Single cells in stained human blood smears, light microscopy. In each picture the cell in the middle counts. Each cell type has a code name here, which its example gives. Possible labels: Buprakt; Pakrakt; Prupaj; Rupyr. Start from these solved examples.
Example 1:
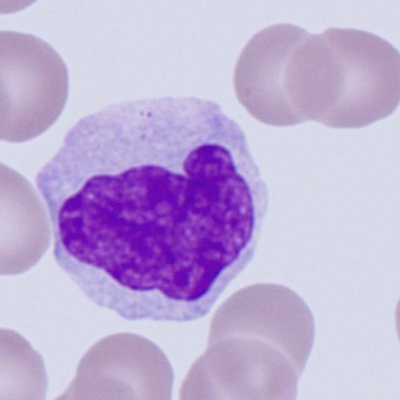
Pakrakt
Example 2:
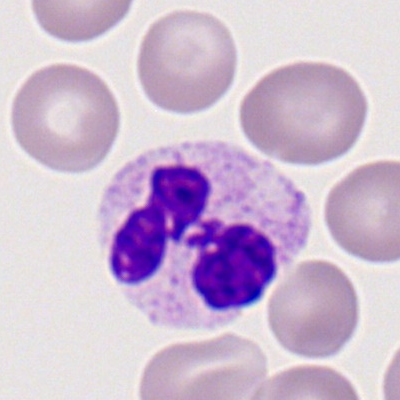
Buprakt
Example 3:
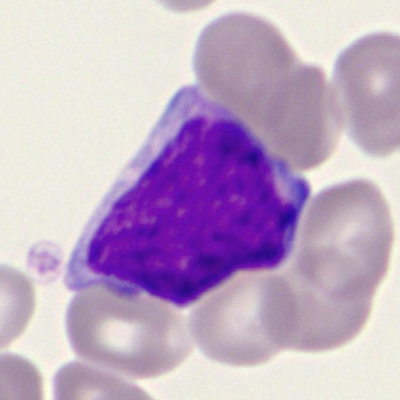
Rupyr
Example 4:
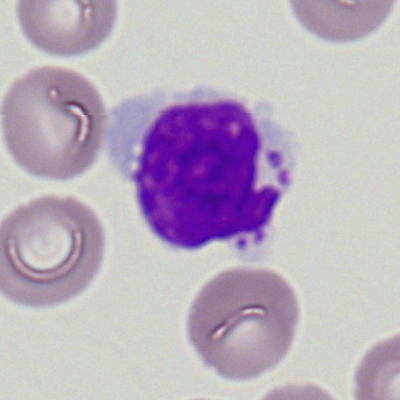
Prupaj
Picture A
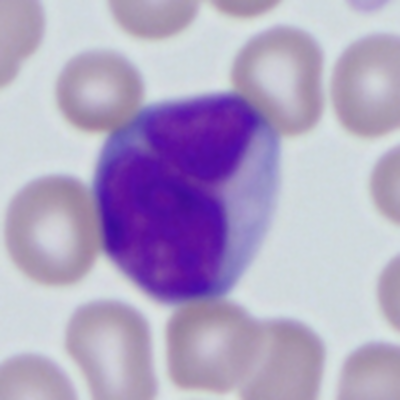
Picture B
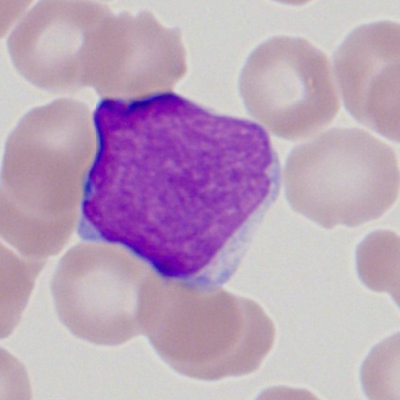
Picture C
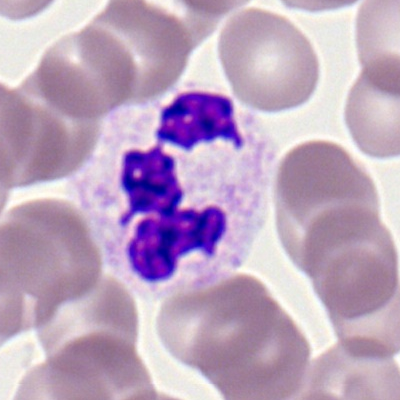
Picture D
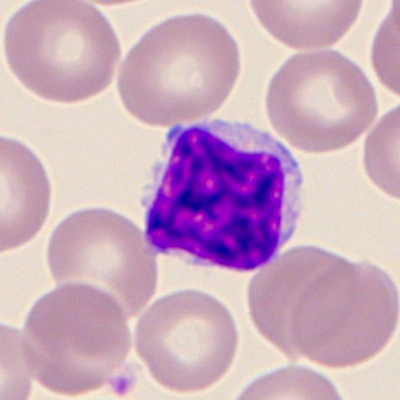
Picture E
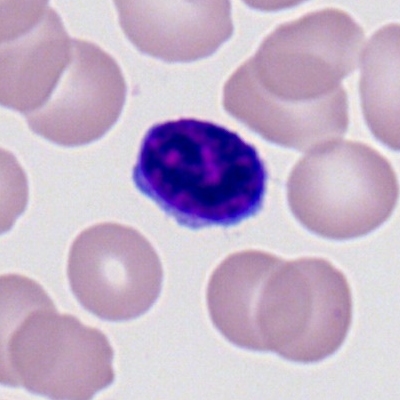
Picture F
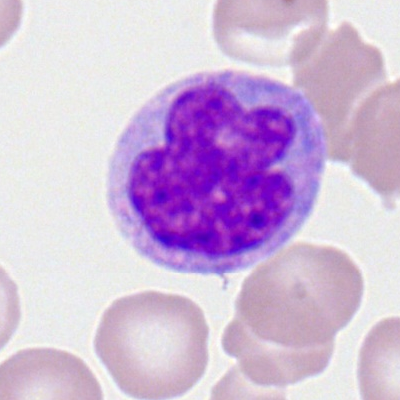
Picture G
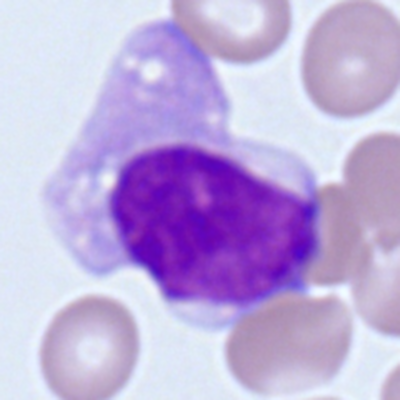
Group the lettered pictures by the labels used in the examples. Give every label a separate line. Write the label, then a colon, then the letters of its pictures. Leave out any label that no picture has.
Buprakt: C
Pakrakt: F, G
Prupaj: D, E
Rupyr: A, B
